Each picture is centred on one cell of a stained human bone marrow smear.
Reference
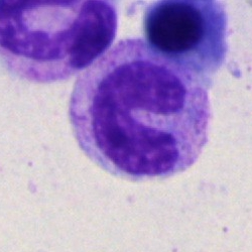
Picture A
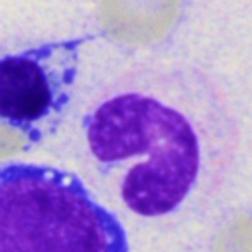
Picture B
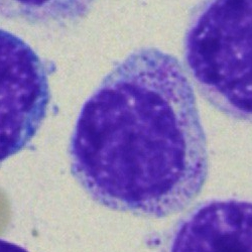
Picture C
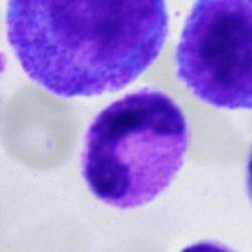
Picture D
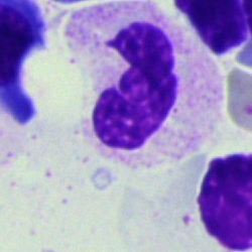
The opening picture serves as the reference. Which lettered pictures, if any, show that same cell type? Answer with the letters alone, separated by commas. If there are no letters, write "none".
A, C, D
